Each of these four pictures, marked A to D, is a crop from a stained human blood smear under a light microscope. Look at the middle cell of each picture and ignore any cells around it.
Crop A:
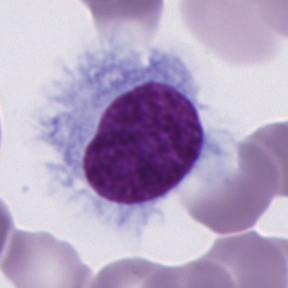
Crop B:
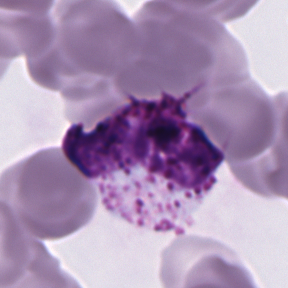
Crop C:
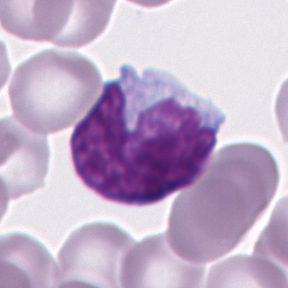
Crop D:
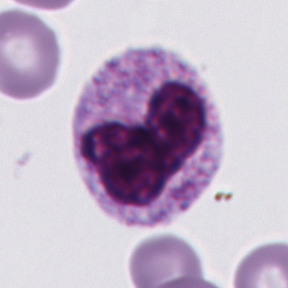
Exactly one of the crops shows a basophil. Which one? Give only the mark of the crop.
B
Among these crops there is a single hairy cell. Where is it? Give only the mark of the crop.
A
